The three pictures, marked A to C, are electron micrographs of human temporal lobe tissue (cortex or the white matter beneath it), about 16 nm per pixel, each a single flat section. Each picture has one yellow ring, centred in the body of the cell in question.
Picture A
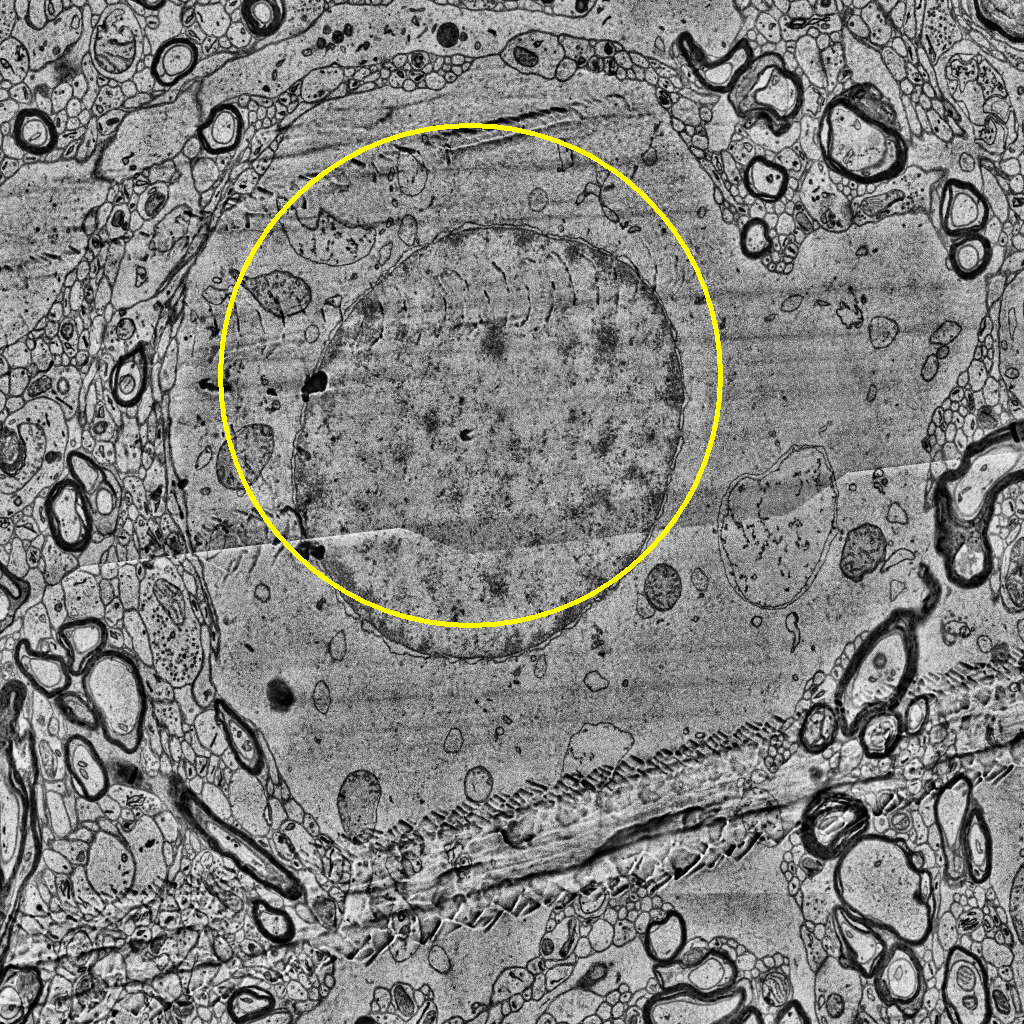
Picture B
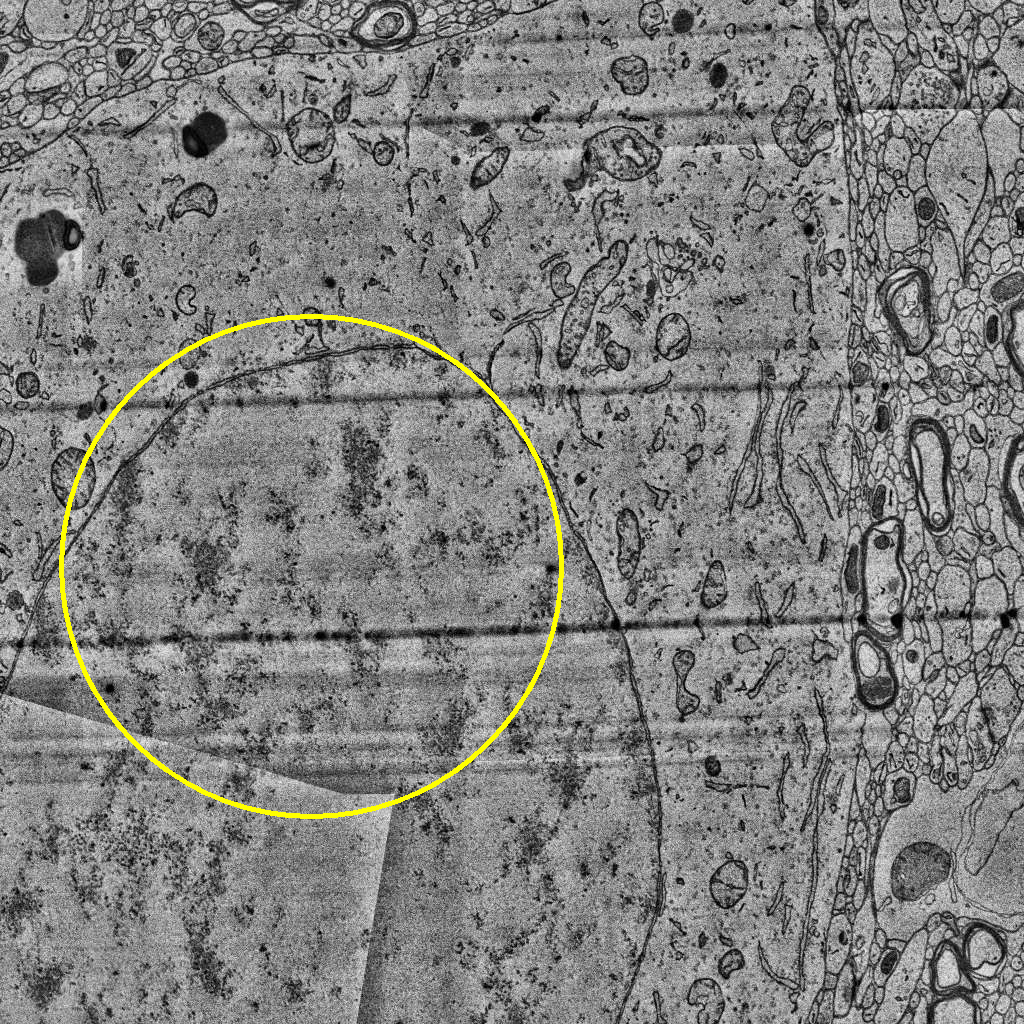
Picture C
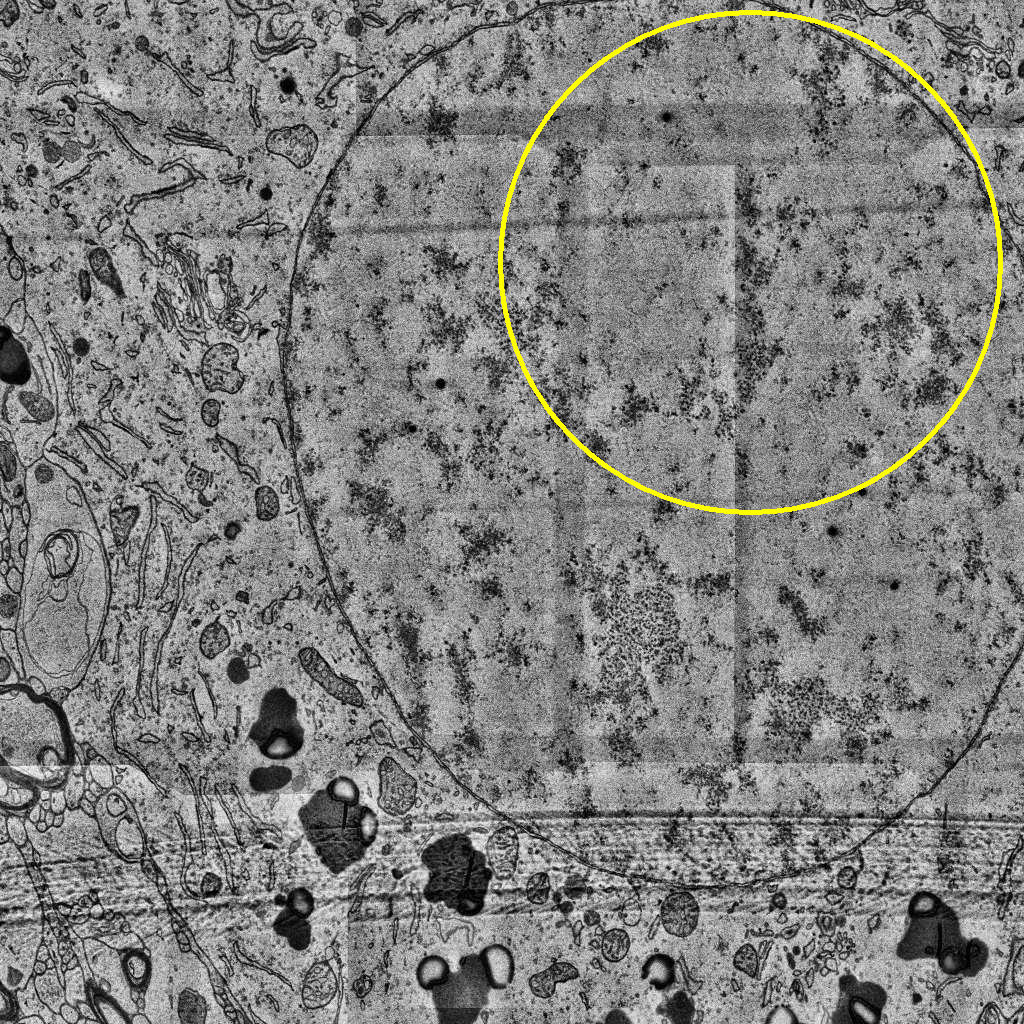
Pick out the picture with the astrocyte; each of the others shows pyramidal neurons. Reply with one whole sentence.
Picture A shows the astrocyte.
